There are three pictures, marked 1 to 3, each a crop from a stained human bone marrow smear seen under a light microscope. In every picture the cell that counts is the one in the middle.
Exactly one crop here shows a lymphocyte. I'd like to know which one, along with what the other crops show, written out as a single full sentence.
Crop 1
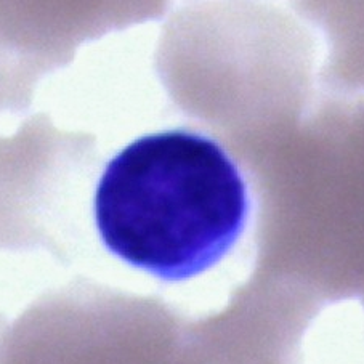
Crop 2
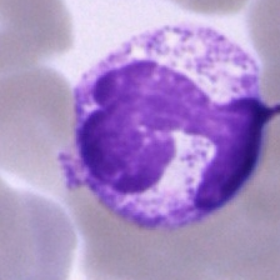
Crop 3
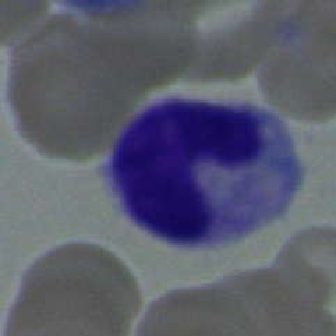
Whereas crop 2 is a segmented neutrophil and crop 3 is a band neutrophil, the cell at the centre of crop 1 is a lymphocyte.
